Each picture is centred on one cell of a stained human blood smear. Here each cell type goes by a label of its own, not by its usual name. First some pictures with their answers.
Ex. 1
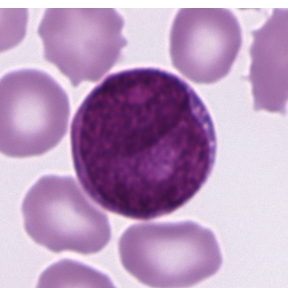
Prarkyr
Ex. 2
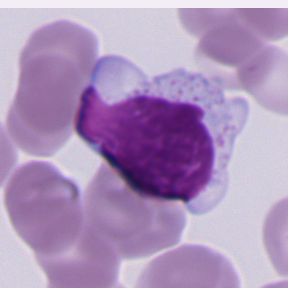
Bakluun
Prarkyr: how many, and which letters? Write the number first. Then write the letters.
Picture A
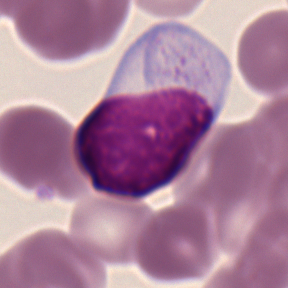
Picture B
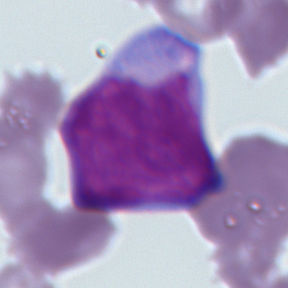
Count: 1 (B)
